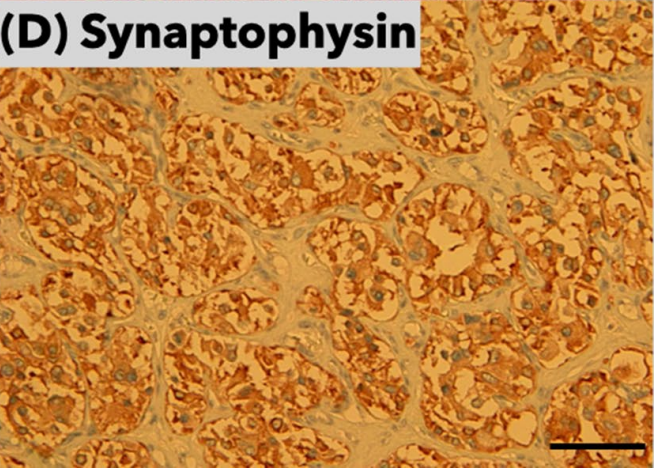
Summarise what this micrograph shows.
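Rounded clusters of tumor cells show strong brown staining throughout their cytoplasm, with bluish nuclei visible within, while the thin fibrous strands dividing the clusters stay pale. The tumor cells are arranged in nests outlined by this delicate stroma.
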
